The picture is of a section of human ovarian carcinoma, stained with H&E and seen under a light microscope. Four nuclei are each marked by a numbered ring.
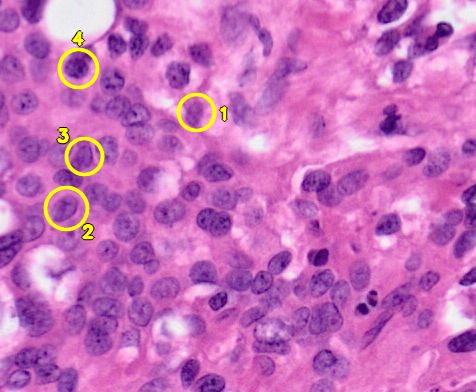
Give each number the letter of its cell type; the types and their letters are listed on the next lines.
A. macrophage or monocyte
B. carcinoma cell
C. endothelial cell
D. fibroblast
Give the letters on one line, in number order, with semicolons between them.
B; B; B; A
